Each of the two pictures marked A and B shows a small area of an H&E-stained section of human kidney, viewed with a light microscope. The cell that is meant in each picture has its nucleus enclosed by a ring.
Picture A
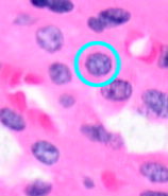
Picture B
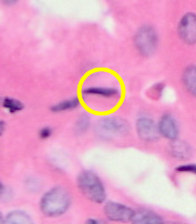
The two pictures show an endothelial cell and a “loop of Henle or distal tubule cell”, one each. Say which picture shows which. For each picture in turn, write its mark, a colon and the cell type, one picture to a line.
A: loop of Henle or distal tubule cell
B: endothelial cell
